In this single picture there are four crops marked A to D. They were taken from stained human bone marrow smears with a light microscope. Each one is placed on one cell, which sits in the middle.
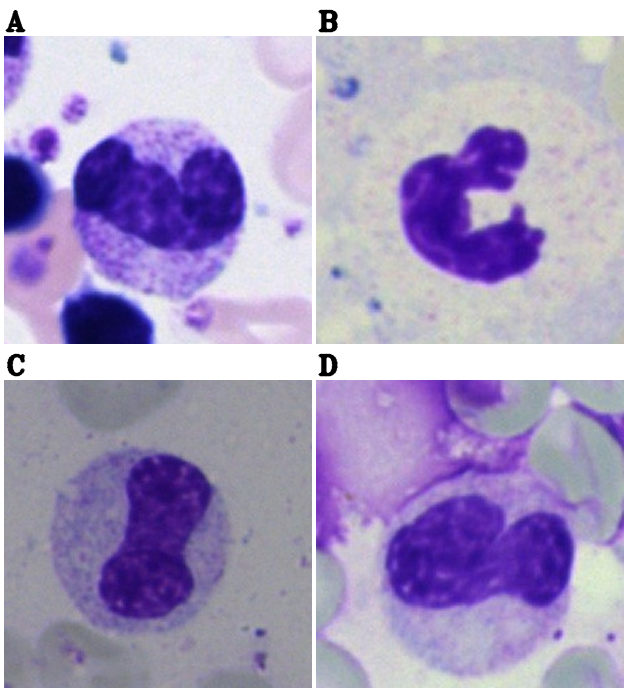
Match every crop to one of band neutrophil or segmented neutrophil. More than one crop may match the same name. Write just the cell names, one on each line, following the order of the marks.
segmented neutrophil
segmented neutrophil
band neutrophil
band neutrophil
